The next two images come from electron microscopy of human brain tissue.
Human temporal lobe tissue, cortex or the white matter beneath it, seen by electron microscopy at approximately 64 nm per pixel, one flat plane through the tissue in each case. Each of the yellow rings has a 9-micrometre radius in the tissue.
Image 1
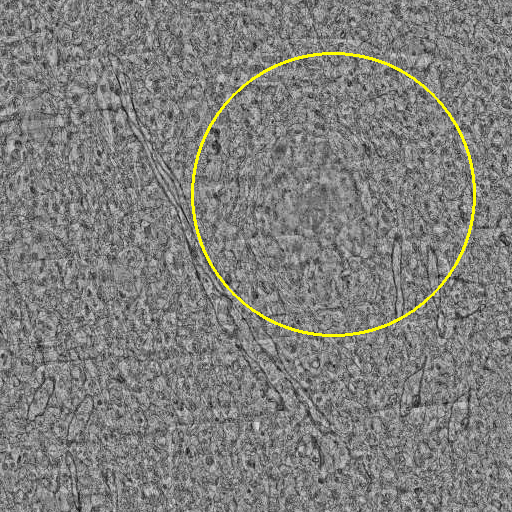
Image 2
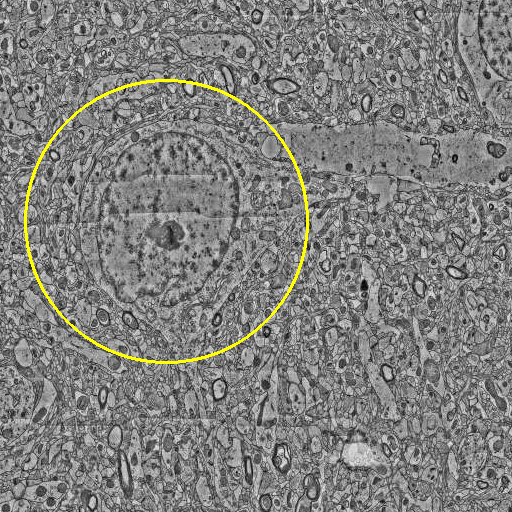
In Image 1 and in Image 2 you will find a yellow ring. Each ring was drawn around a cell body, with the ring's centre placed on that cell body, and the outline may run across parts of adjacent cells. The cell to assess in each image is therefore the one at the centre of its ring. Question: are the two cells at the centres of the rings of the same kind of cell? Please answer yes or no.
yes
